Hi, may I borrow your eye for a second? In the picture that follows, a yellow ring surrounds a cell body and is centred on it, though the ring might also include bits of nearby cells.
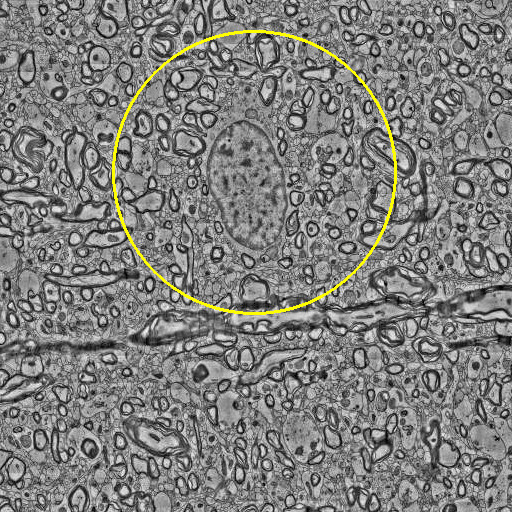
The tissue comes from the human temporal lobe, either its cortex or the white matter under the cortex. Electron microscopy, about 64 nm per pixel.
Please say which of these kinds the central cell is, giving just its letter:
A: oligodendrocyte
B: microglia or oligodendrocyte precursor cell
A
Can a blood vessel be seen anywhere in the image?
No, there is no blood vessel.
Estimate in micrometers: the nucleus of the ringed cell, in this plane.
The nucleus works out at approximately 8 by 5 micrometres in this plane.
